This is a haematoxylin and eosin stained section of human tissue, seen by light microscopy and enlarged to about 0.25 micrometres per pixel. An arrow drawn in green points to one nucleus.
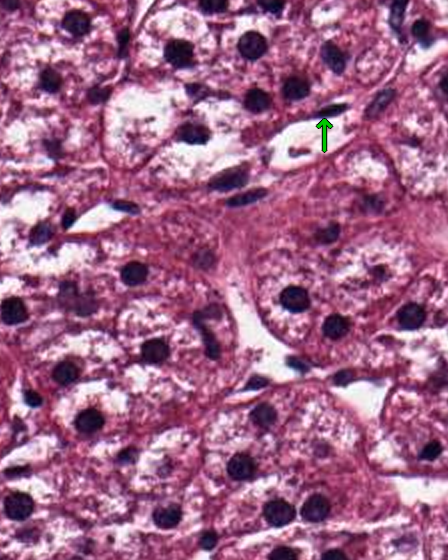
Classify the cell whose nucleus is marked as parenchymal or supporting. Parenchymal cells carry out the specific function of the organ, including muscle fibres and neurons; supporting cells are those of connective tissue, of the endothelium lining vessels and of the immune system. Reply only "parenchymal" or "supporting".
supporting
